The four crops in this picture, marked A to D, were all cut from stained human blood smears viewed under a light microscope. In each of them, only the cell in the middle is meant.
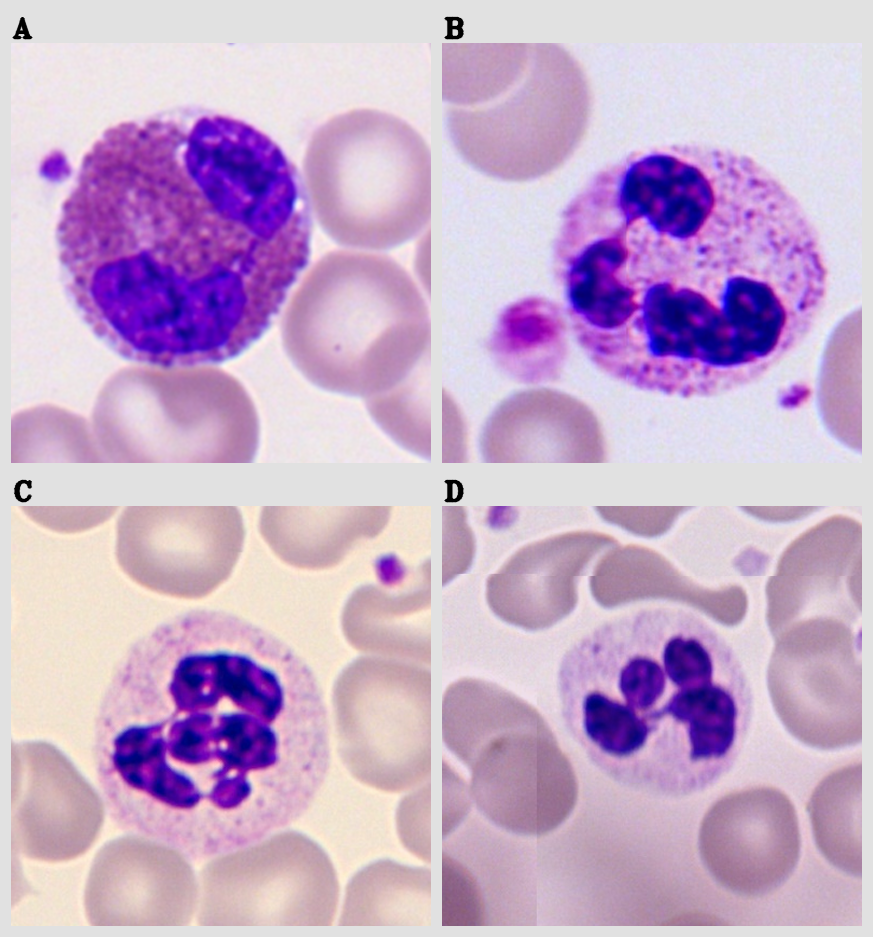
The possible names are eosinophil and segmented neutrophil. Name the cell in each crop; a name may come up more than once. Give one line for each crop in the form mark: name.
A: eosinophil
B: segmented neutrophil
C: segmented neutrophil
D: segmented neutrophil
